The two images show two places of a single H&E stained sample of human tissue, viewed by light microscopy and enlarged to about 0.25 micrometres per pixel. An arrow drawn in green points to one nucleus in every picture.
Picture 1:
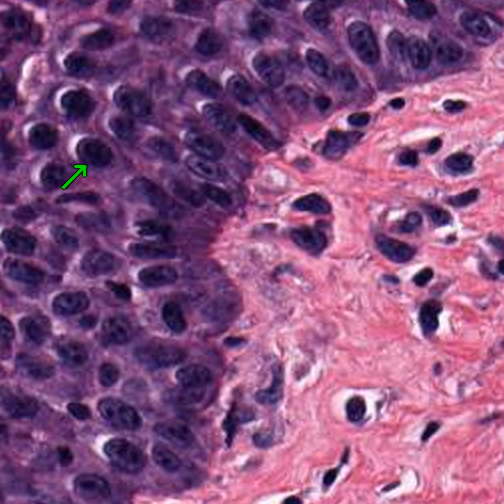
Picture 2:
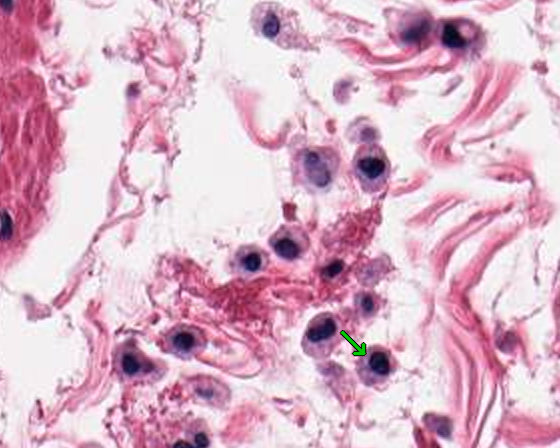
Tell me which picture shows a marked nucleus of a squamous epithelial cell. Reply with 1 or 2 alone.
1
